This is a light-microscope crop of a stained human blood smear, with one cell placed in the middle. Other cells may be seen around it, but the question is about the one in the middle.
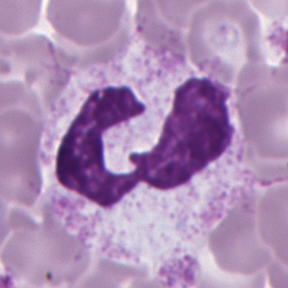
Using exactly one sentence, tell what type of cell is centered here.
Positioned in the middle of the crop is a segmented neutrophil.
